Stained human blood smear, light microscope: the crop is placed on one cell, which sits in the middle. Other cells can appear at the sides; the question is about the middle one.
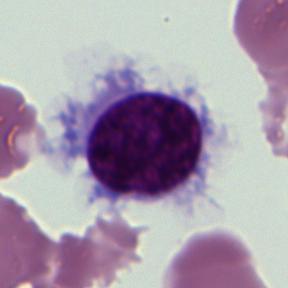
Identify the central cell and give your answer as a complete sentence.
The cell under consideration, at the middle of the crop, is a hairy cell.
